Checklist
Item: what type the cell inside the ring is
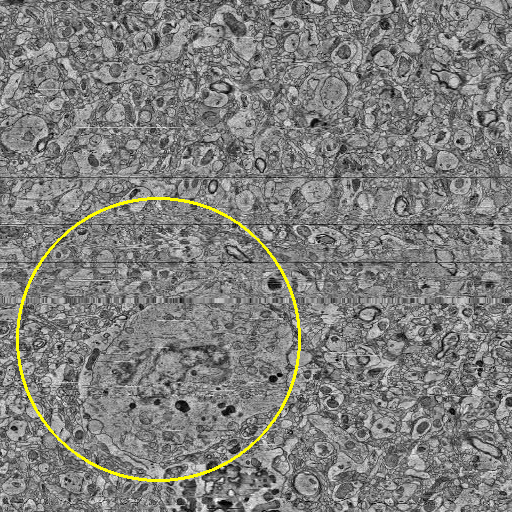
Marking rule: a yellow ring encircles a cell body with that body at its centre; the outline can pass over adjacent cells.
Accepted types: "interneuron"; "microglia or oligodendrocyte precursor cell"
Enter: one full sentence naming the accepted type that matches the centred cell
The entry is that an interneuron lies at the centre of the yellow ring.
